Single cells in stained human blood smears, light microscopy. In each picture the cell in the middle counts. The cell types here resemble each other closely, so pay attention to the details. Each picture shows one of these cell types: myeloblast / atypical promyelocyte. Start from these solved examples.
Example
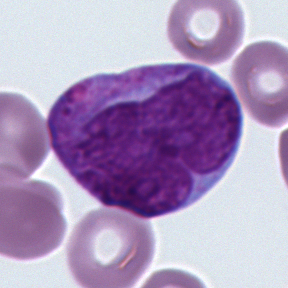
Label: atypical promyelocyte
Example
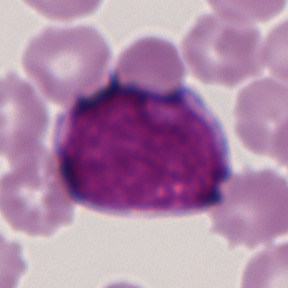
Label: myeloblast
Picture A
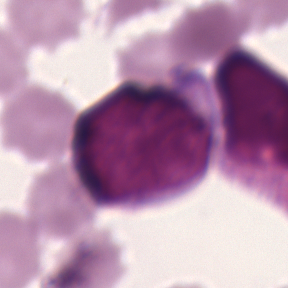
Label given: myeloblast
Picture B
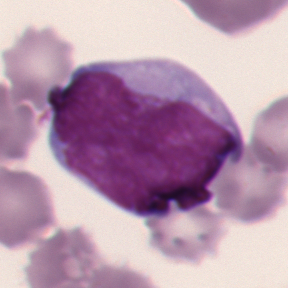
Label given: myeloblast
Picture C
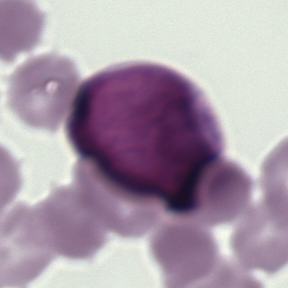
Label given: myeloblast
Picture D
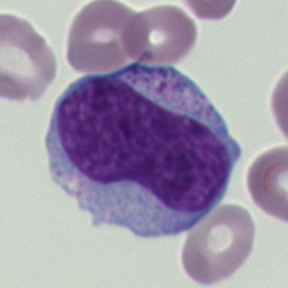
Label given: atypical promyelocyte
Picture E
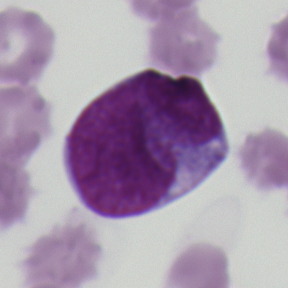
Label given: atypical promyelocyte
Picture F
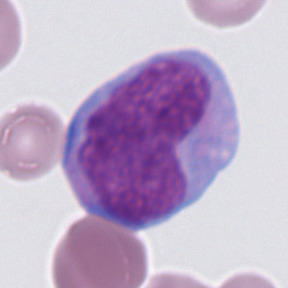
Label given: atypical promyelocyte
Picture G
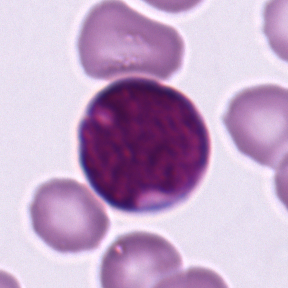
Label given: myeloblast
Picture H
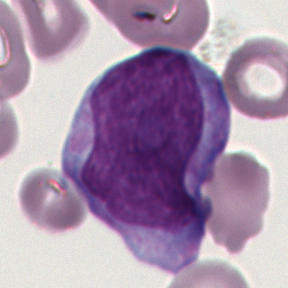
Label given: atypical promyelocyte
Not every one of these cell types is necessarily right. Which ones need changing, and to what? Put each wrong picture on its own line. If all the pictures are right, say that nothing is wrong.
E: not atypical promyelocyte but myeloblast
